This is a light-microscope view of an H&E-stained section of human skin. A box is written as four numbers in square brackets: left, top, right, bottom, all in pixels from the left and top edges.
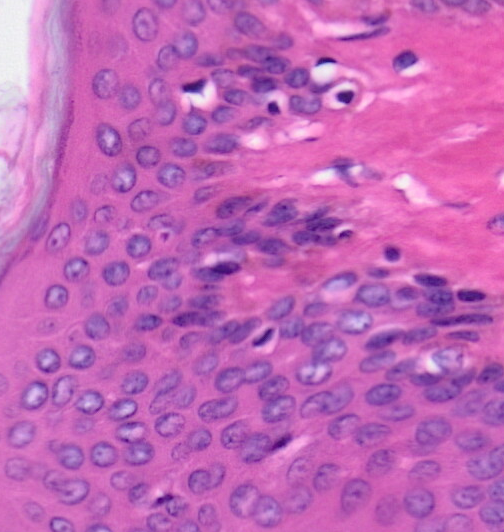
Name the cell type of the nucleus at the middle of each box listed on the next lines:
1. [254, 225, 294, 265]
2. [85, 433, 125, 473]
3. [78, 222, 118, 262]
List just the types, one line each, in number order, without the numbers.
basal keratinocyte
suprabasal keratinocyte
suprabasal keratinocyte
